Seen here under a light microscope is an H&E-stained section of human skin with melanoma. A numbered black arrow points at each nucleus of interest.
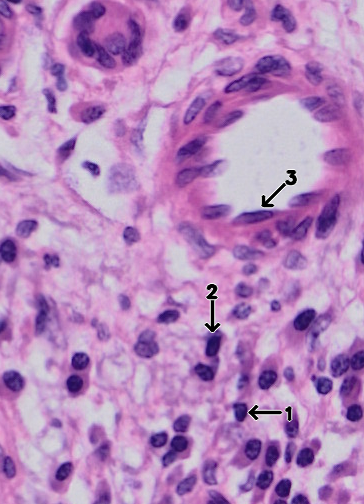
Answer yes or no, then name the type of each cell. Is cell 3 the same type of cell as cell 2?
No, cell 3 is an endothelial cell and cell 2 is a plasma cell.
